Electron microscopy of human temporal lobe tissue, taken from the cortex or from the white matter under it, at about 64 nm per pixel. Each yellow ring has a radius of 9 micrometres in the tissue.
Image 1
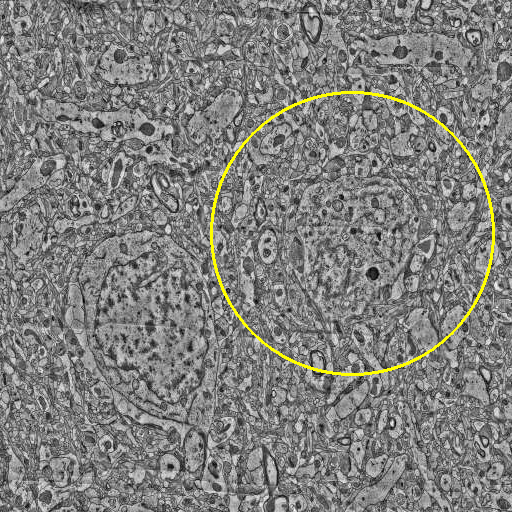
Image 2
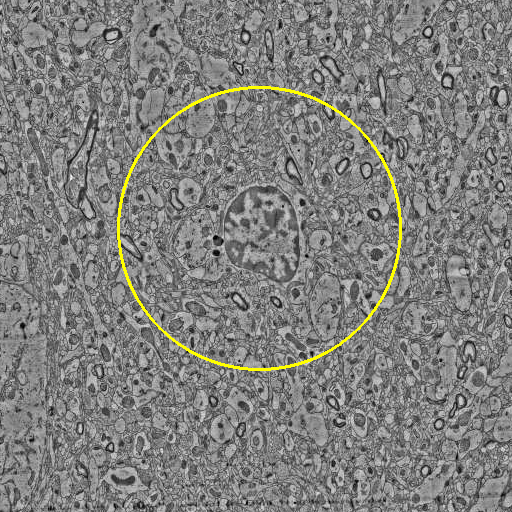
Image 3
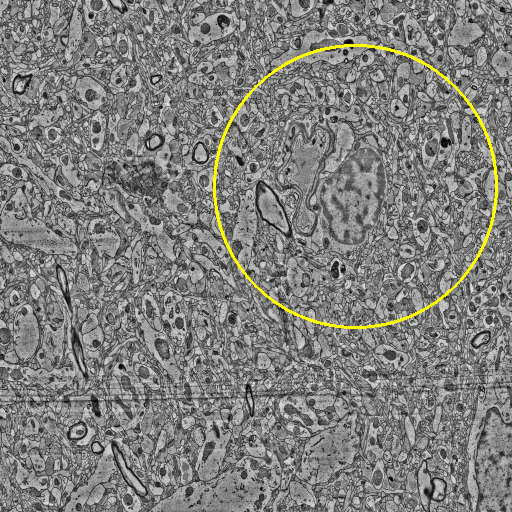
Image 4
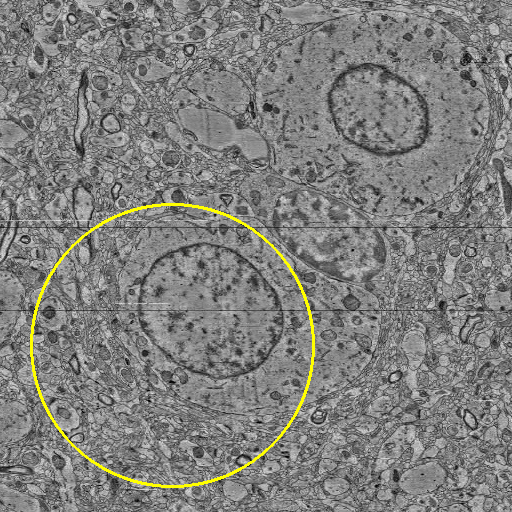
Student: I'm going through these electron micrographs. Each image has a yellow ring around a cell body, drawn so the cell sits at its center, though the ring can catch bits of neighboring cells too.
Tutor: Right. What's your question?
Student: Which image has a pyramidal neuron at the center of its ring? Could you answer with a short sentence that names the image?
Image 4 shows it at the center of its ring.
